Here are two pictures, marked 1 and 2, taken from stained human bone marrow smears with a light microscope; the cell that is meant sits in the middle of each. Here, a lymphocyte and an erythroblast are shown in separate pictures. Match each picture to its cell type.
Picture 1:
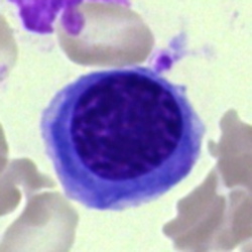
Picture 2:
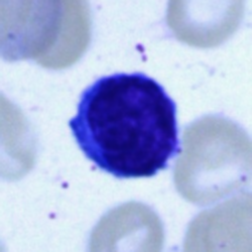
1: erythroblast
2: lymphocyte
